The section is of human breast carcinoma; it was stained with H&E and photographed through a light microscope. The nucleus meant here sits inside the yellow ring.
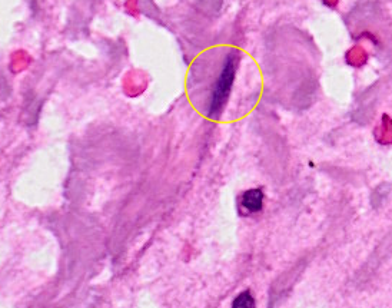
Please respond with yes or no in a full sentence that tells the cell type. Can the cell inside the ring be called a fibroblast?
Yes, it is the case that the cell inside the ring is a fibroblast.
